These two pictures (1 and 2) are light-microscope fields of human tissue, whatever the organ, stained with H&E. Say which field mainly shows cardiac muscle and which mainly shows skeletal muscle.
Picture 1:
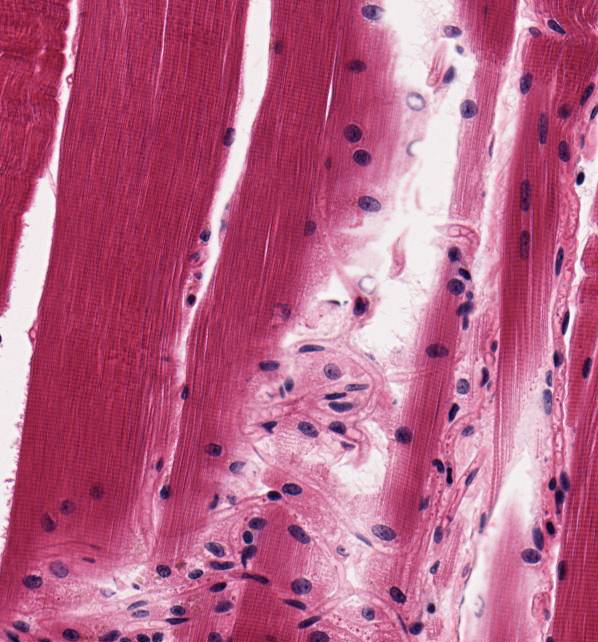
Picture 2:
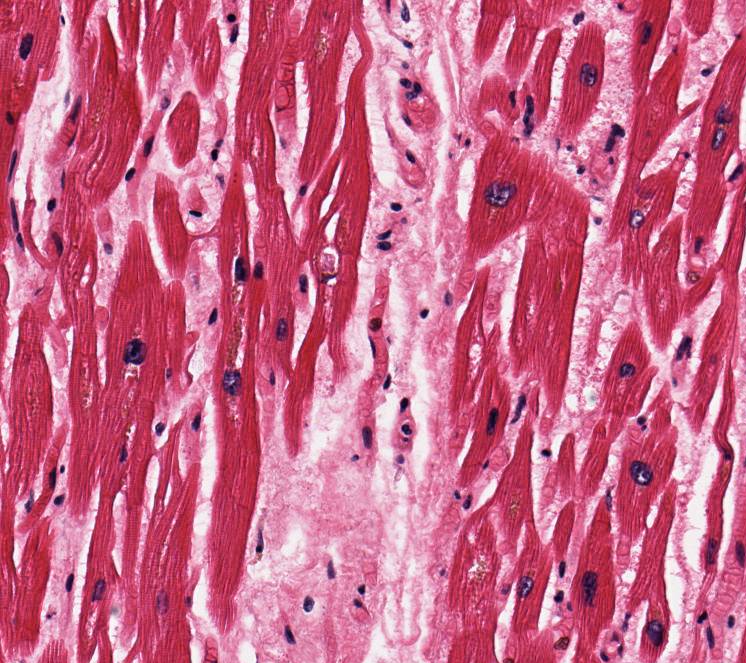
1: skeletal muscle
2: cardiac muscle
